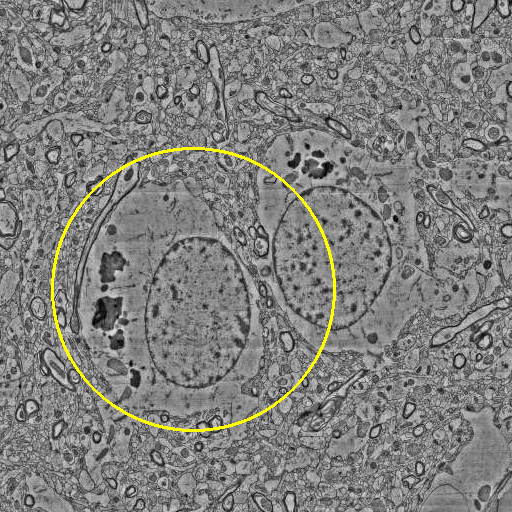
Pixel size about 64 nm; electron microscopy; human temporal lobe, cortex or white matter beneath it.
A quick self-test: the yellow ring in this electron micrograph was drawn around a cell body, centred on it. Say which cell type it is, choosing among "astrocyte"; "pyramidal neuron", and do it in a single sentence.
The yellow-ringed cell is an astrocyte.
